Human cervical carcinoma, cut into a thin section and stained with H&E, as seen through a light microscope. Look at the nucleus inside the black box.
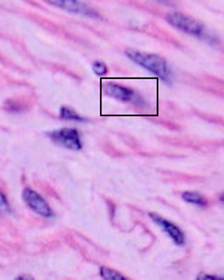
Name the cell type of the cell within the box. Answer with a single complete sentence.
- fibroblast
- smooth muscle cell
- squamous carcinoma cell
What the cell within the box represents is a smooth muscle cell.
